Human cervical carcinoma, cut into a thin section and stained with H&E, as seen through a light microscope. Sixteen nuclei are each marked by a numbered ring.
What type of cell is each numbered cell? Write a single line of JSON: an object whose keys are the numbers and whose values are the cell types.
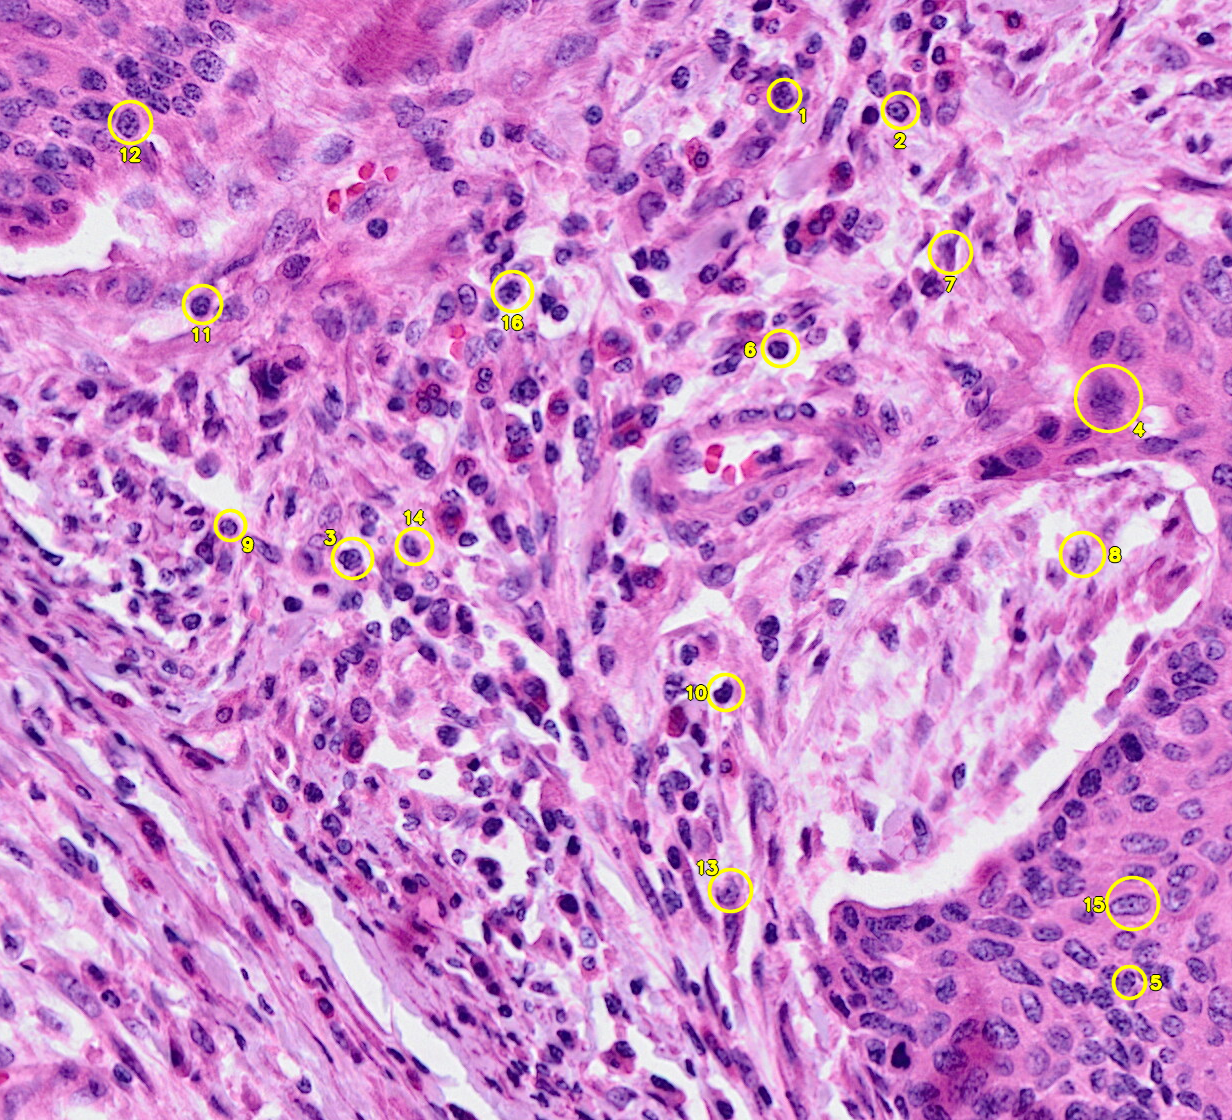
{"1": "lymphocyte", "2": "lymphocyte", "3": "lymphocyte", "4": "squamous carcinoma cell", "5": "squamous carcinoma cell", "6": "lymphocyte", "7": "fibroblast", "8": "fibroblast", "9": "lymphocyte", "10": "lymphocyte", "11": "lymphocyte", "12": "squamous carcinoma cell", "13": "macrophage or monocyte", "14": "lymphocyte", "15": "squamous carcinoma cell", "16": "lymphocyte"}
